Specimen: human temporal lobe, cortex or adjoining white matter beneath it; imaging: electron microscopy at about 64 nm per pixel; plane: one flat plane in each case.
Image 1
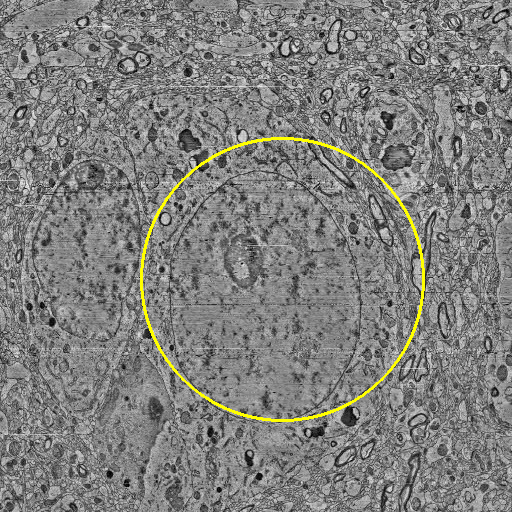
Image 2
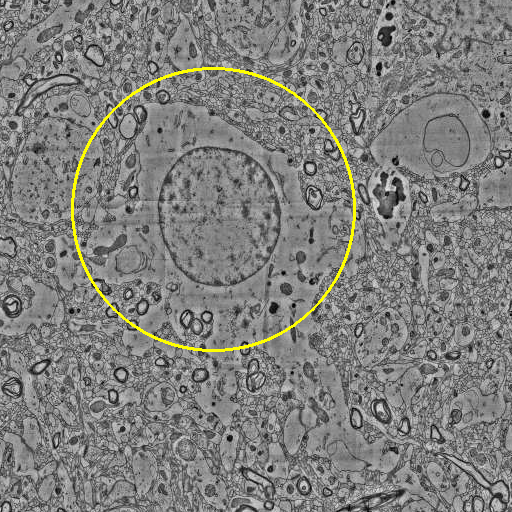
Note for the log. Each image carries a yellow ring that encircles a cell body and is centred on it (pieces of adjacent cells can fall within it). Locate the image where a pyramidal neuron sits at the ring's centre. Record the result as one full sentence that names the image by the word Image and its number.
Image 1 has the wanted cell sitting at the centre of its ring.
